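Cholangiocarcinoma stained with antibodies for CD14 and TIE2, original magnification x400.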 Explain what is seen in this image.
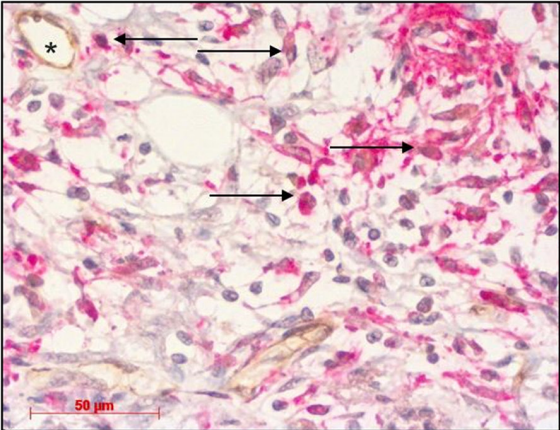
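This is tumour stroma with scattered monocytes, small rounded to spindle cells with bright pink-red cytoplasm and oval blue nuclei lying among loose fibres and clear spaces. Several of them sit close to small blood vessels, whose thin walls are outlined in brown around empty round lumens. A dense cluster of pink-stained cells lies near the top, and many unstained cells with blue nuclei lie in between.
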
